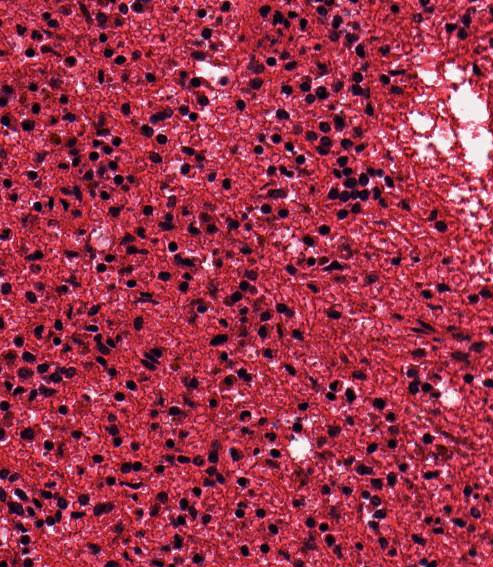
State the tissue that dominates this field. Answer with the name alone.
red pulp of the spleen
